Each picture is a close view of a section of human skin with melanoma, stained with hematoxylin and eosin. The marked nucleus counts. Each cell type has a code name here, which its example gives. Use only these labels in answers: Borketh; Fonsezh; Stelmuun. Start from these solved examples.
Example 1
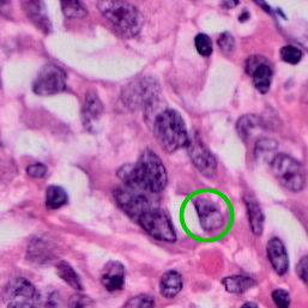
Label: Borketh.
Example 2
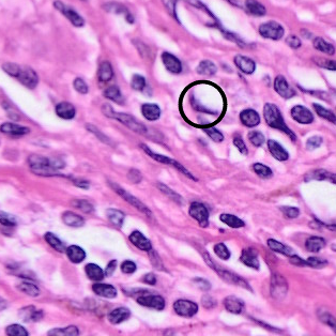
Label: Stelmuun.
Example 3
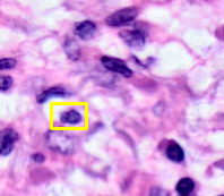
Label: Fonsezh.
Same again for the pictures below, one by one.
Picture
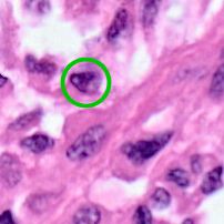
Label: Borketh.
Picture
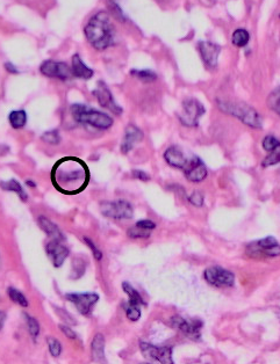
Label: Stelmuun.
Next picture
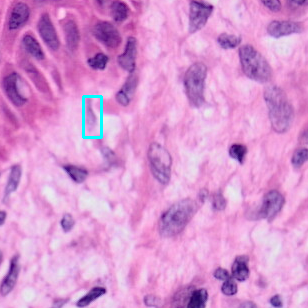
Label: Stelmuun.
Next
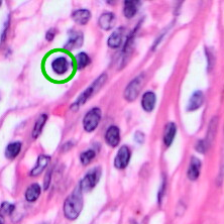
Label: Fonsezh.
